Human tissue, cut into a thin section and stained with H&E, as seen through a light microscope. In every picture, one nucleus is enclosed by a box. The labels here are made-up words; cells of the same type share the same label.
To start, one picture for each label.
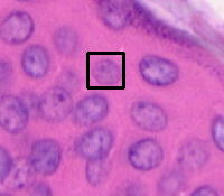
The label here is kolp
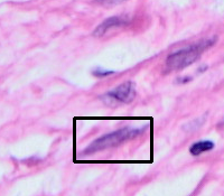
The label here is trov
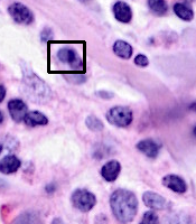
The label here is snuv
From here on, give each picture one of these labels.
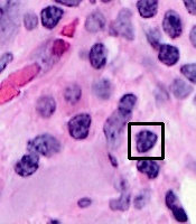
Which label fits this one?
snuv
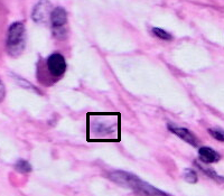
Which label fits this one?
trov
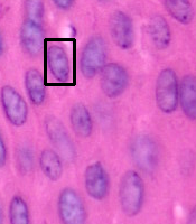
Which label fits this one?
kolp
